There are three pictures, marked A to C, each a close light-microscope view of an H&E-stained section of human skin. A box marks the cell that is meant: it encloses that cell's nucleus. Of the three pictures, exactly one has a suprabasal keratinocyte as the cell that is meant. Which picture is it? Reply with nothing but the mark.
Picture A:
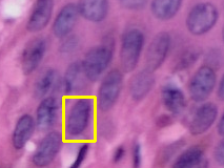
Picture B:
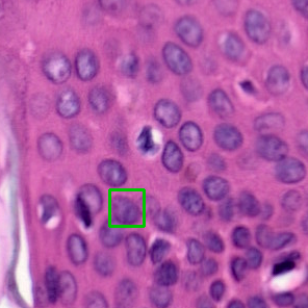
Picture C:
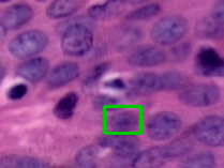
B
